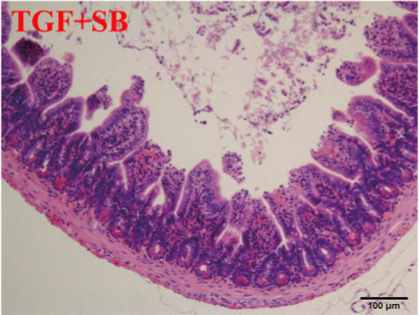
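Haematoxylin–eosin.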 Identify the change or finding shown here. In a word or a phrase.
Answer: Disintegrated intestinal villi.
